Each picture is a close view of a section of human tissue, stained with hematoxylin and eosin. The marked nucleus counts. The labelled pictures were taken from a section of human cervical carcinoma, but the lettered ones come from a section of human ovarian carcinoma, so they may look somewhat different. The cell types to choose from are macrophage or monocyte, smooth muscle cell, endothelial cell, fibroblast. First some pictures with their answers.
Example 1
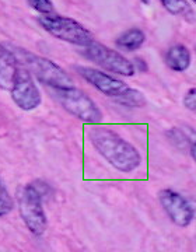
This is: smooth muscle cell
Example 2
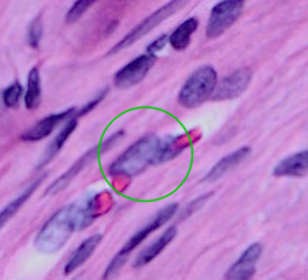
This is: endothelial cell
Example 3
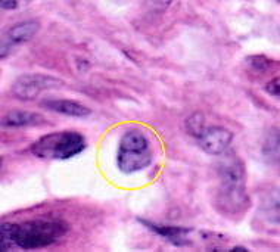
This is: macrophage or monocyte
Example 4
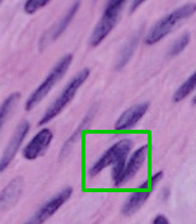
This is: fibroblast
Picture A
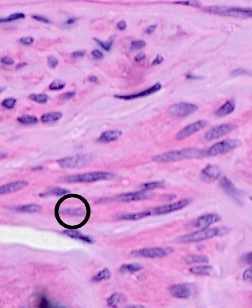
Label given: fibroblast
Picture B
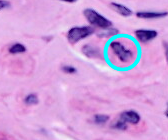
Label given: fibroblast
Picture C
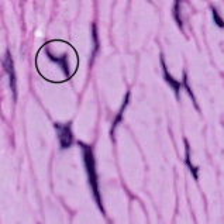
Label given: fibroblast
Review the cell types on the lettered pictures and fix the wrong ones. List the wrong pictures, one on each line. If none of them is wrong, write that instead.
A is labelled fibroblast; correct label: smooth muscle cell
B is labelled fibroblast; correct label: endothelial cell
